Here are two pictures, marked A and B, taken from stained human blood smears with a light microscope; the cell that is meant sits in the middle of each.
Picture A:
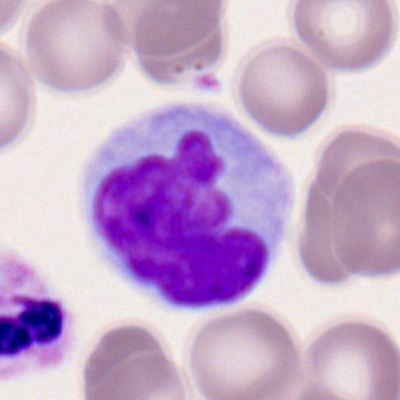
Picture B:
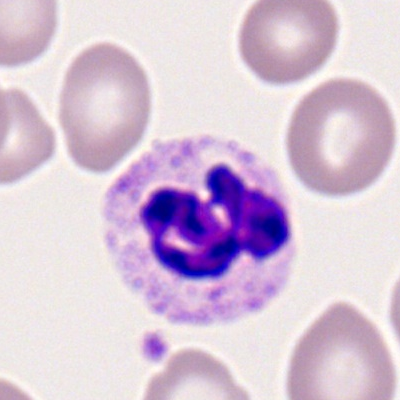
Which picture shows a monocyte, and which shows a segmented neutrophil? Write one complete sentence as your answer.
It is picture A that shows a monocyte, and picture B that shows a segmented neutrophil.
